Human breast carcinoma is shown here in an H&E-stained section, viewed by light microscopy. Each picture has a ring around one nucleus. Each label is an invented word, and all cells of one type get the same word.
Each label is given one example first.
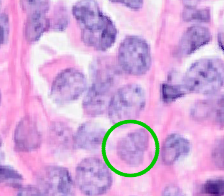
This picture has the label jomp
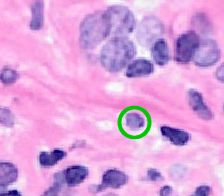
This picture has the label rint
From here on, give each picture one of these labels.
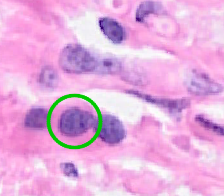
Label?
jomp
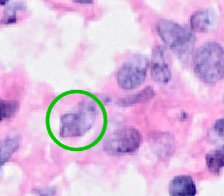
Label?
jomp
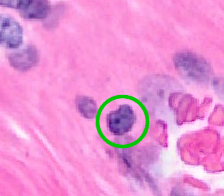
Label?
rint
